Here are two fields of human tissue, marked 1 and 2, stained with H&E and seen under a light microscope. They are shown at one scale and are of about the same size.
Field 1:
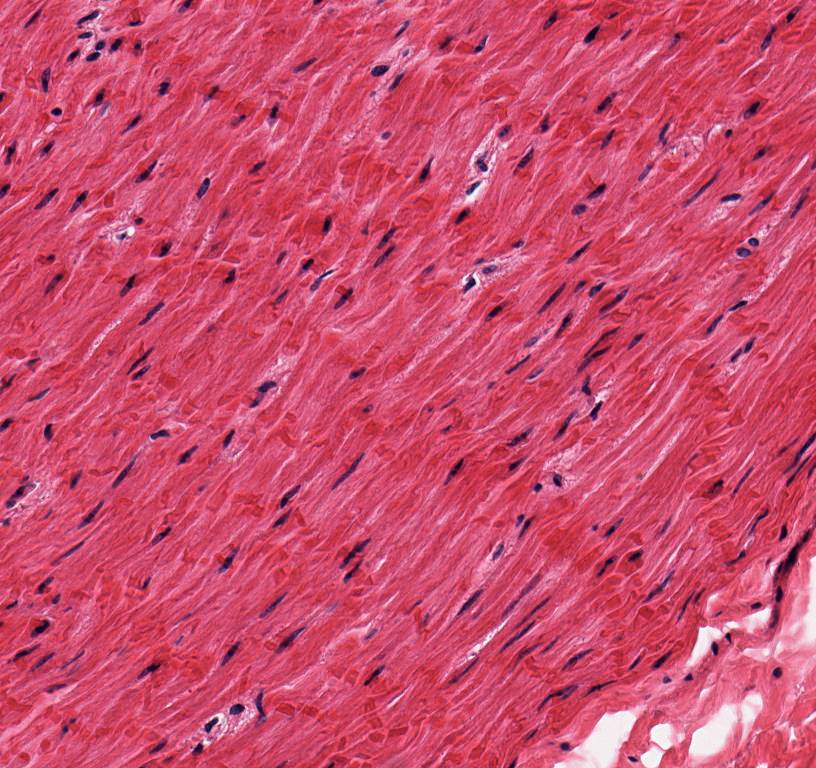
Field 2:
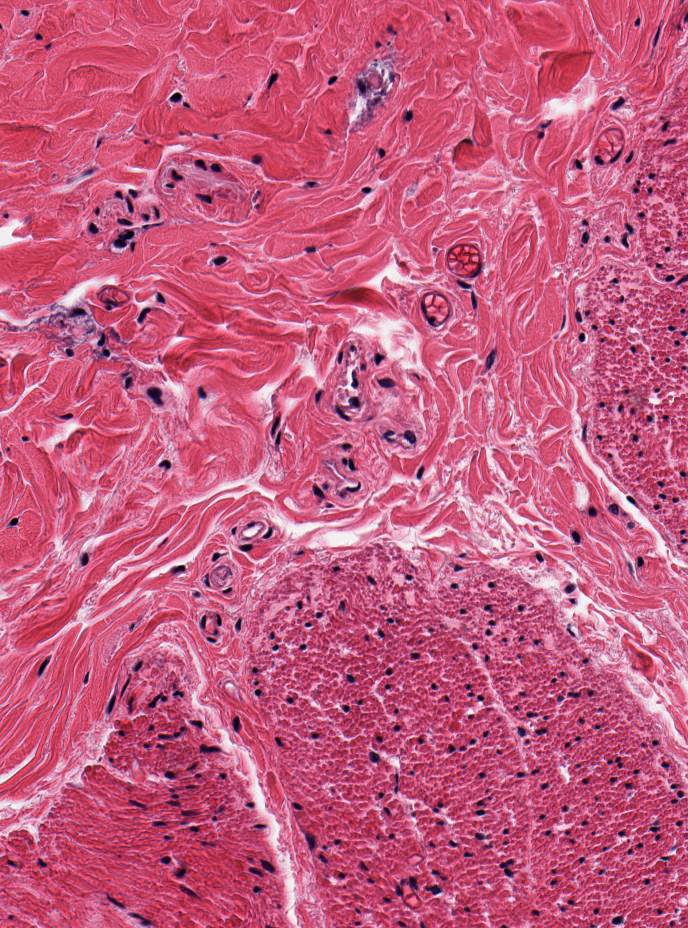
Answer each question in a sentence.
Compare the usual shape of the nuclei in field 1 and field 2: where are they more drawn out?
On the whole the nuclei of field 1 are more drawn out than those of field 2.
